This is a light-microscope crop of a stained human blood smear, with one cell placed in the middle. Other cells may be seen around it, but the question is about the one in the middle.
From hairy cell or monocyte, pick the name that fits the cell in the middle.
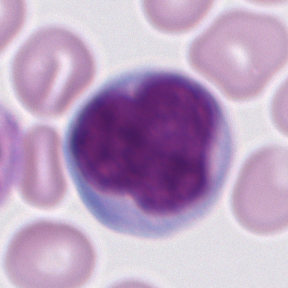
monocyte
